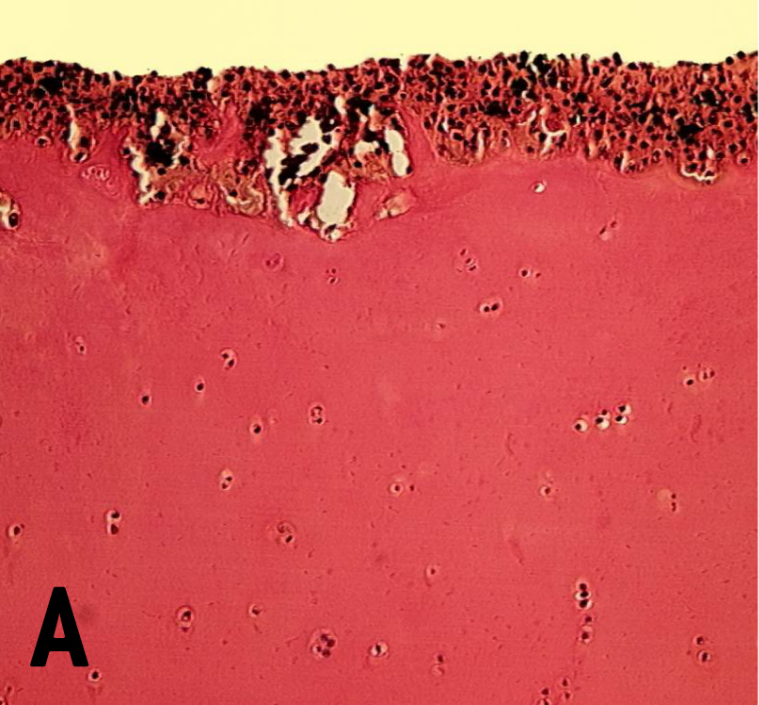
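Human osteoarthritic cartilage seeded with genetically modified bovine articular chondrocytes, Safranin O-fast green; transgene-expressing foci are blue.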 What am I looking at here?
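A thick band of homogeneous pink-red matrix with sparse rounded cells sitting singly or in pairs in small lacunae fills most of the field, while its upper surface is irregular and broken. Along that surface lies a dense layer of many closely packed rounded cells with dark nuclei, some in dark blue-black clumps, which fill the gaps and clefts of the uneven surface.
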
